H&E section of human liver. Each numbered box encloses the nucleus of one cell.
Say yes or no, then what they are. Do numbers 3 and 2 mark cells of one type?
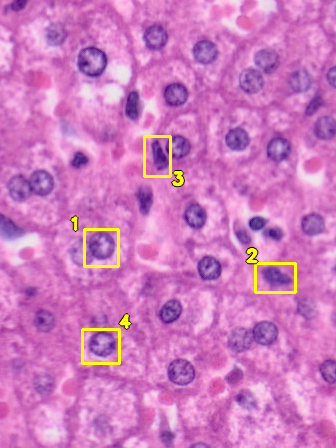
Yes, just like cell 3, cell 2 is one of the fibroblasts or stellate cells.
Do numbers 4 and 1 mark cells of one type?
Yes, by cell type, cells 4 and 1 are both hepatocytes.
